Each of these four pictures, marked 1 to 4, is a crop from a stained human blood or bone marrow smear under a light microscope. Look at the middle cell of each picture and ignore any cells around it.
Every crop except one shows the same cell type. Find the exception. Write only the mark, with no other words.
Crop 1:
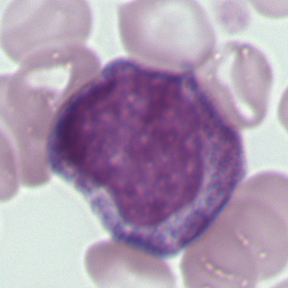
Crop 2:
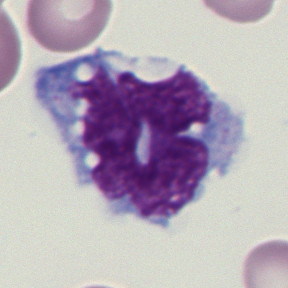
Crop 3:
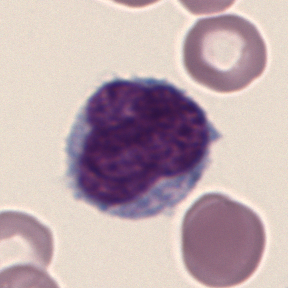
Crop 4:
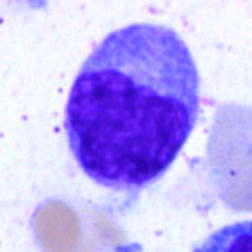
1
